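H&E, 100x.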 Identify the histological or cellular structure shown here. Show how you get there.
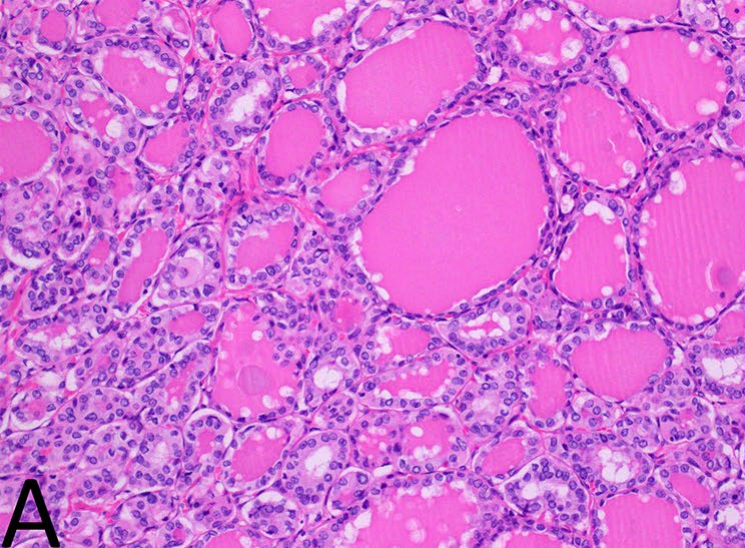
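Round to oval follicles of varying size fill the field. Follicles contain homogeneous pink colloid. Each follicle is lined by a single layer of epithelial cells.
Answer: Follicular architecture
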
